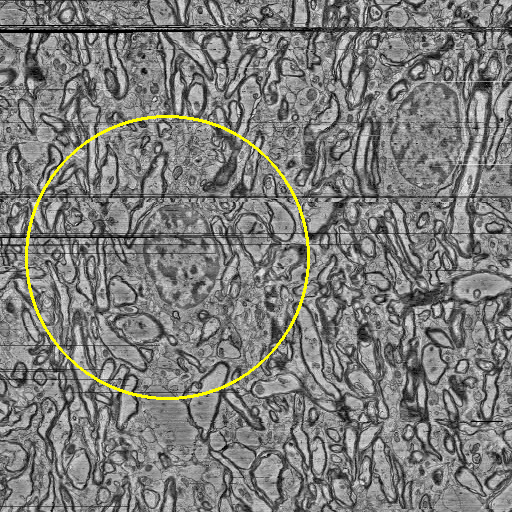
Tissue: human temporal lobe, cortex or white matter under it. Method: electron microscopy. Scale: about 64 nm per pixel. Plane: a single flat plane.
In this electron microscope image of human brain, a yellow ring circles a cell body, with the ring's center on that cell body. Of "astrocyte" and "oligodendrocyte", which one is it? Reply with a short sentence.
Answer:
It is an oligodendrocyte at the center of the ring.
